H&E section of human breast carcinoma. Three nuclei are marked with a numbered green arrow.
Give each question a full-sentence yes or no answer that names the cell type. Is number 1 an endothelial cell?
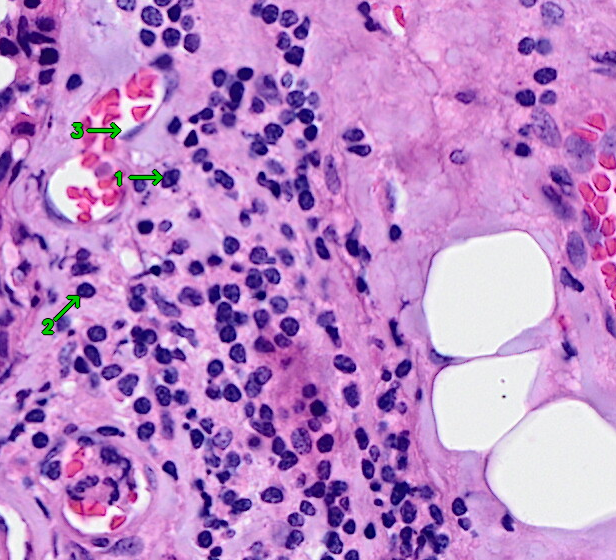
No, cell 1 has been misnamed; it is a lymphocyte, not an endothelial cell.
